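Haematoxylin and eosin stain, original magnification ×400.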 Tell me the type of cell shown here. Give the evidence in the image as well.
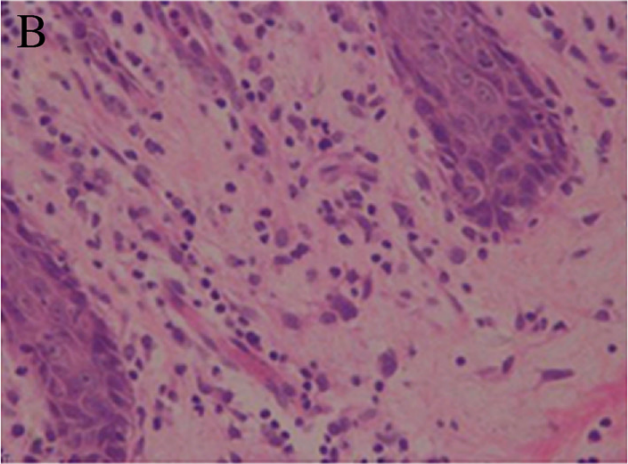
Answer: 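The dermis between epidermal strands holds many scattered round cells. Many of these cells have an eccentric round nucleus with a rim of cytoplasm. So: plasma cells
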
